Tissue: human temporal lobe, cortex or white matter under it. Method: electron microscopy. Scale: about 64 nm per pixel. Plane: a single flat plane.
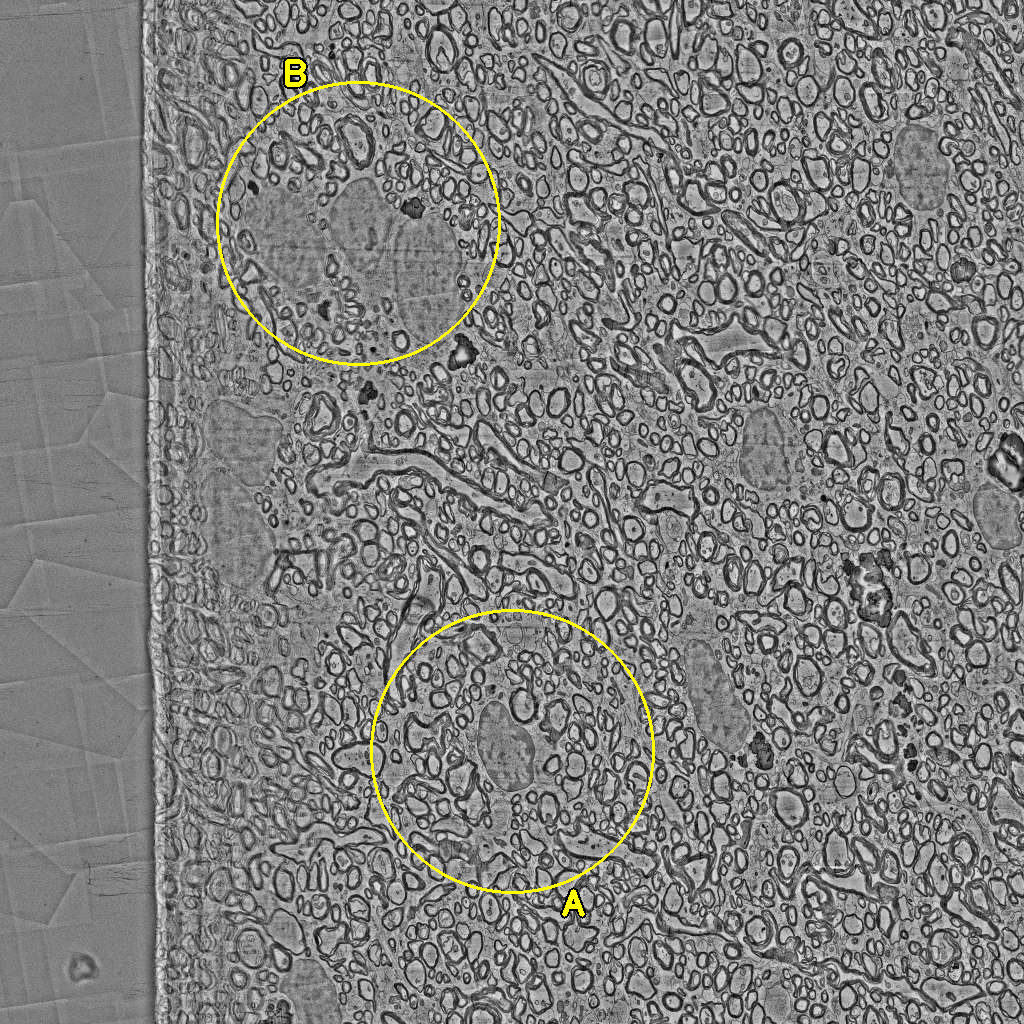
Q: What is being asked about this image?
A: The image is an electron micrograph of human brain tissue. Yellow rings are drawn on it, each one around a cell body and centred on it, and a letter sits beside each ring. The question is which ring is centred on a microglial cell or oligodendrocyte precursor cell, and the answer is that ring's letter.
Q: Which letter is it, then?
A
